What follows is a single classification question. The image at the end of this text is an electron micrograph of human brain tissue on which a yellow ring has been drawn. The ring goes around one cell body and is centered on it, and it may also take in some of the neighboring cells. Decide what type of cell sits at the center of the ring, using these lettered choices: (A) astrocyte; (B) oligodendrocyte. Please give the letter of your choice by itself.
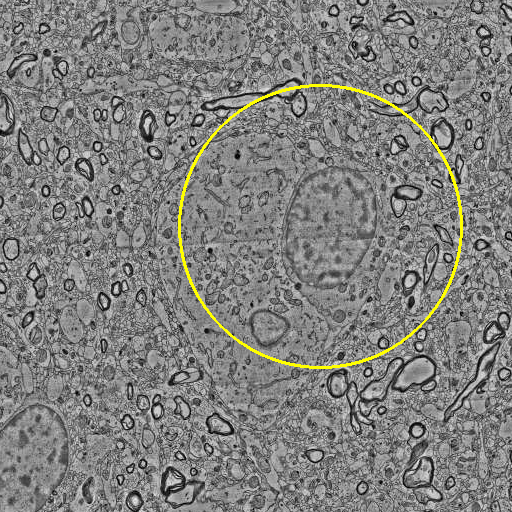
B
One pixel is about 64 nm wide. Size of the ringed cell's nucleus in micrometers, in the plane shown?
Approximately 8 by 6 micrometers in this plane.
